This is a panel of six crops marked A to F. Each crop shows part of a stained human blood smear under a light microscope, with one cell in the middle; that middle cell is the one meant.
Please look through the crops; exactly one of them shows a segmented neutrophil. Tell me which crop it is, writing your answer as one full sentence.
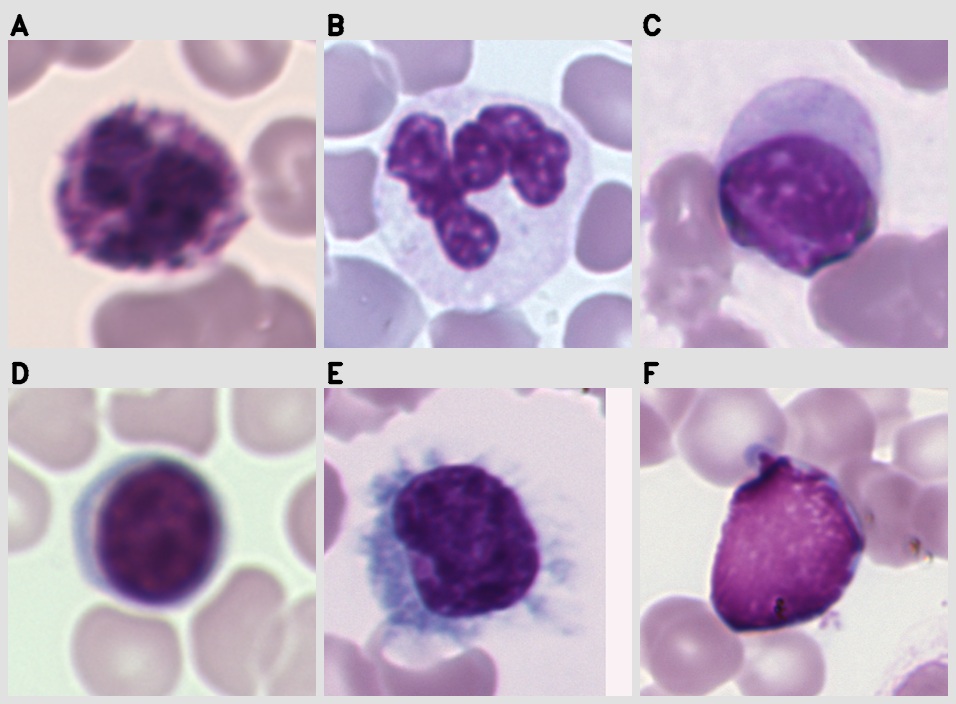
Of these crops, it is crop B that shows a segmented neutrophil.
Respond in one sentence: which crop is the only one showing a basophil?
Crop A is the one in the set with a basophil at the center.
